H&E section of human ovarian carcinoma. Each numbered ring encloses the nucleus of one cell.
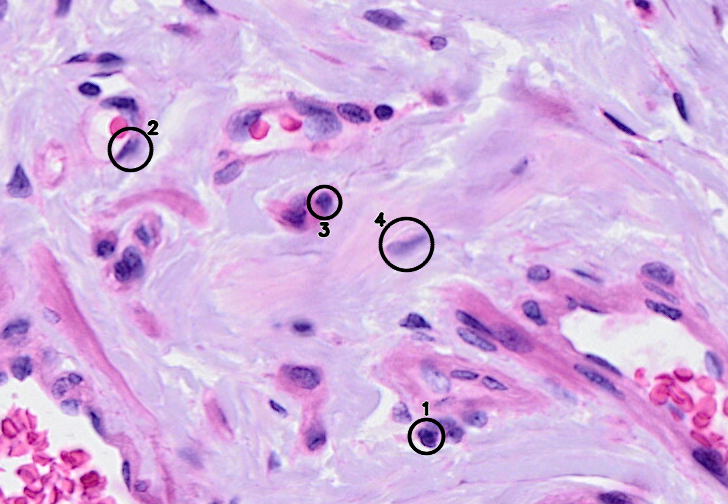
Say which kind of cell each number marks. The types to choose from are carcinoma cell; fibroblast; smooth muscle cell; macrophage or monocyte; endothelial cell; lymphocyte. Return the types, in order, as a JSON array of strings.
["lymphocyte", "endothelial cell", "smooth muscle cell", "fibroblast"]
